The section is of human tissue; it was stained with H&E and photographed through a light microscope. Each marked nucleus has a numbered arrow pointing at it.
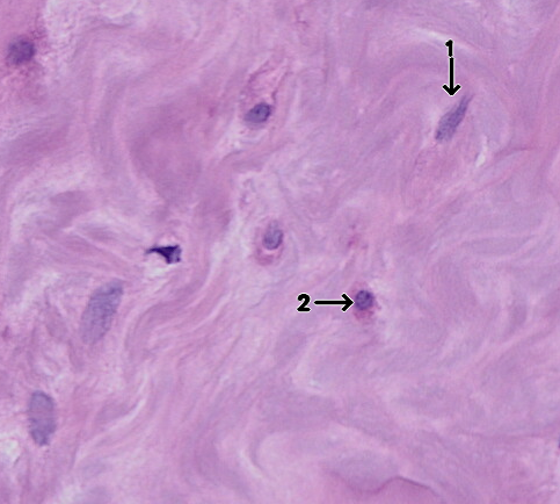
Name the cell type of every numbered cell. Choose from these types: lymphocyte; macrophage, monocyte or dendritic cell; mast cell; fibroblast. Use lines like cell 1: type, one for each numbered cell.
cell 1: fibroblast
cell 2: mast cell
